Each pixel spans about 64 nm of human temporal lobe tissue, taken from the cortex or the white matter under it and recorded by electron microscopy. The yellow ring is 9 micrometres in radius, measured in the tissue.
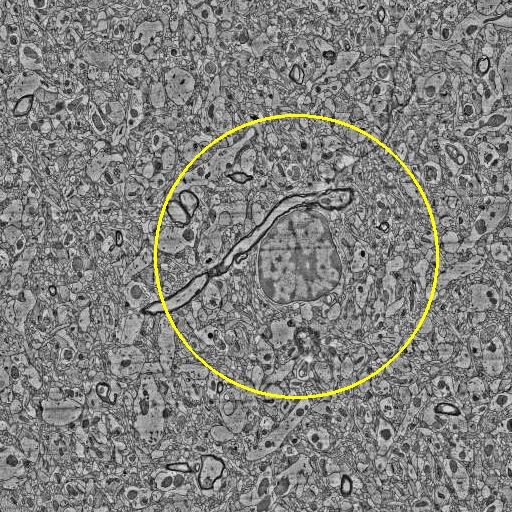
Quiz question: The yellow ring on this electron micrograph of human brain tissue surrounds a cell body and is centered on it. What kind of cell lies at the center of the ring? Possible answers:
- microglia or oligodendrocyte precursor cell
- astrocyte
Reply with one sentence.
The ring's center lies on a microglial cell or oligodendrocyte precursor cell.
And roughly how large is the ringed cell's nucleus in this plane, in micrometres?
In this plane, about 6 micrometres in length and 5 in width.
